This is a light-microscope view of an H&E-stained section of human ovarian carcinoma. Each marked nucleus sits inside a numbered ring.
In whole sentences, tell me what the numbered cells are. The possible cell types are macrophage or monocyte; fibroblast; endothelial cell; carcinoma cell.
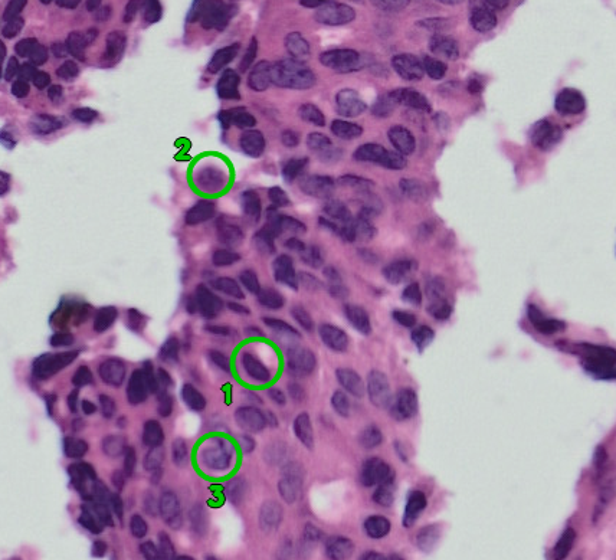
Cell 1 is a carcinoma cell, cell 2 is a carcinoma cell and cell 3 is a macrophage or monocyte.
